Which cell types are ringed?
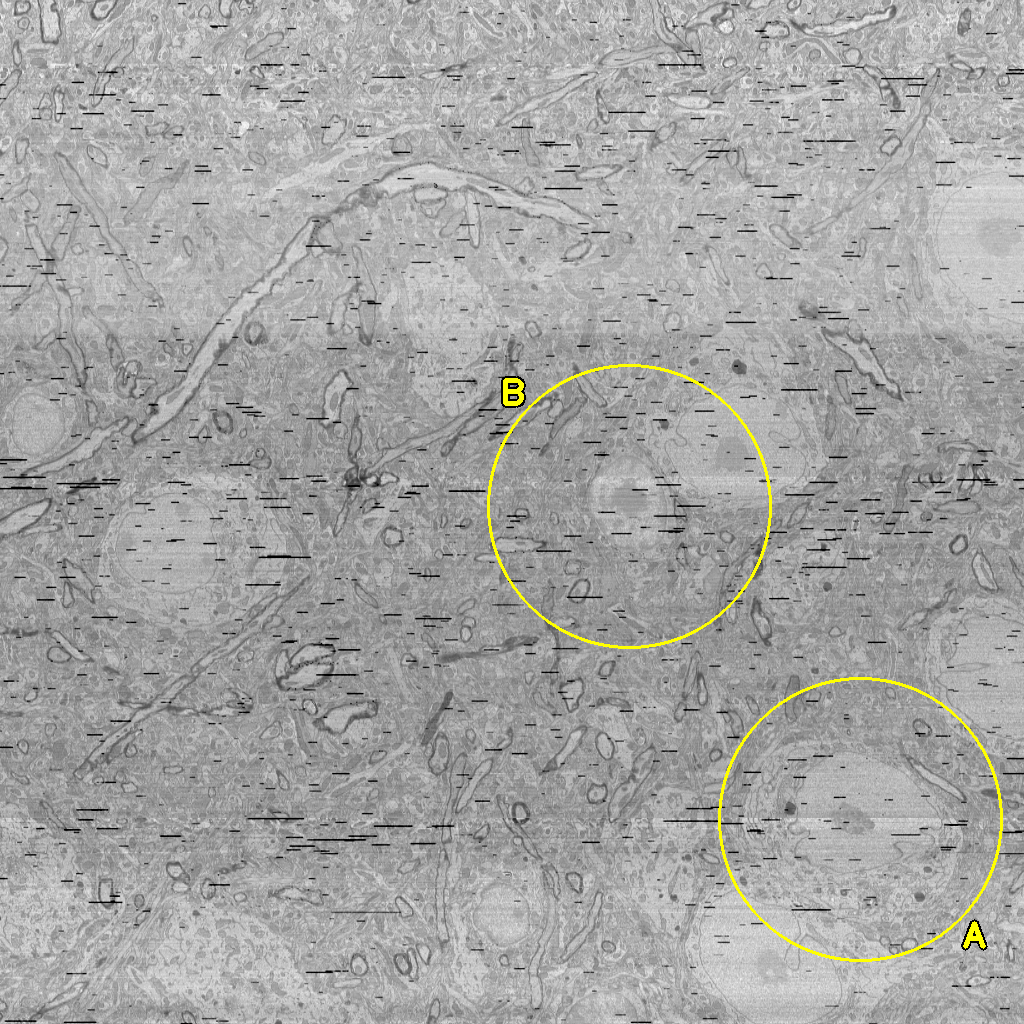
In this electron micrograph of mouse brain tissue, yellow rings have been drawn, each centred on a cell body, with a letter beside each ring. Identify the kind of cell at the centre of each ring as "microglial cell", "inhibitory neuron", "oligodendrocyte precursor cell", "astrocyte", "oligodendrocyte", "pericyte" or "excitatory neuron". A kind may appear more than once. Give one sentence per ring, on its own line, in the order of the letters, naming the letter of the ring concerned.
Ring A is drawn on an inhibitory neuron.
Ring B is drawn on an oligodendrocyte.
